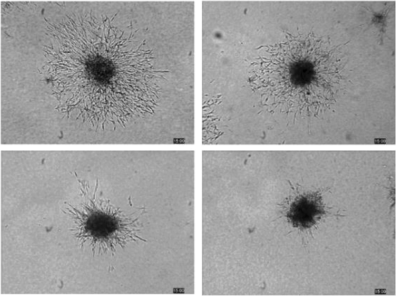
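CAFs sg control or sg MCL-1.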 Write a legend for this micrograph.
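Thin, elongated, spindle-shaped cells extend outward from the core into the clear surrounding matrix, giving a radiating, sunburst-like outline. The number and length of these radiating cells differ between the four images: the upper left image shows a dense crown of long projections, while the lower right shows the fewest and shortest.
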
